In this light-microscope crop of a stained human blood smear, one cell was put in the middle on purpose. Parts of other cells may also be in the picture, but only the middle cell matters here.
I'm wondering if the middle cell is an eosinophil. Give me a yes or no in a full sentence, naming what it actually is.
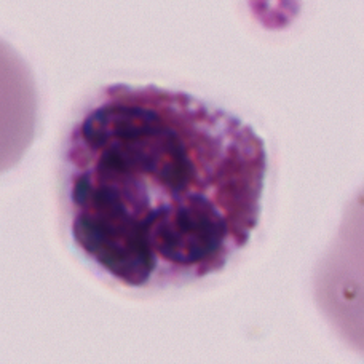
Yes, the cell here in the middle is an eosinophil.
